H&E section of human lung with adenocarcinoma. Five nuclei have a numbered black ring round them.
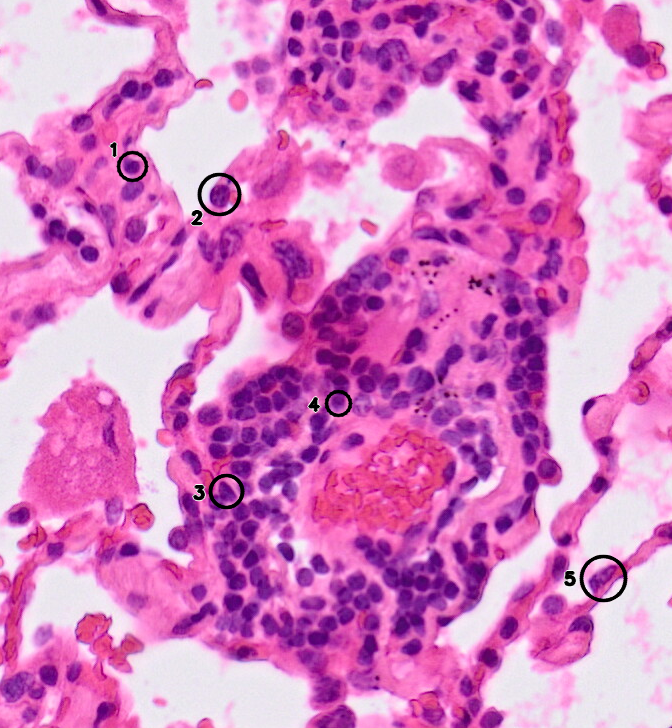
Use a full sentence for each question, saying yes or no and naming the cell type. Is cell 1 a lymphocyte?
Yes, the marked cell with number 1 is a lymphocyte.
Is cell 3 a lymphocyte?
Yes, the cell whose number is 3 is a lymphocyte.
